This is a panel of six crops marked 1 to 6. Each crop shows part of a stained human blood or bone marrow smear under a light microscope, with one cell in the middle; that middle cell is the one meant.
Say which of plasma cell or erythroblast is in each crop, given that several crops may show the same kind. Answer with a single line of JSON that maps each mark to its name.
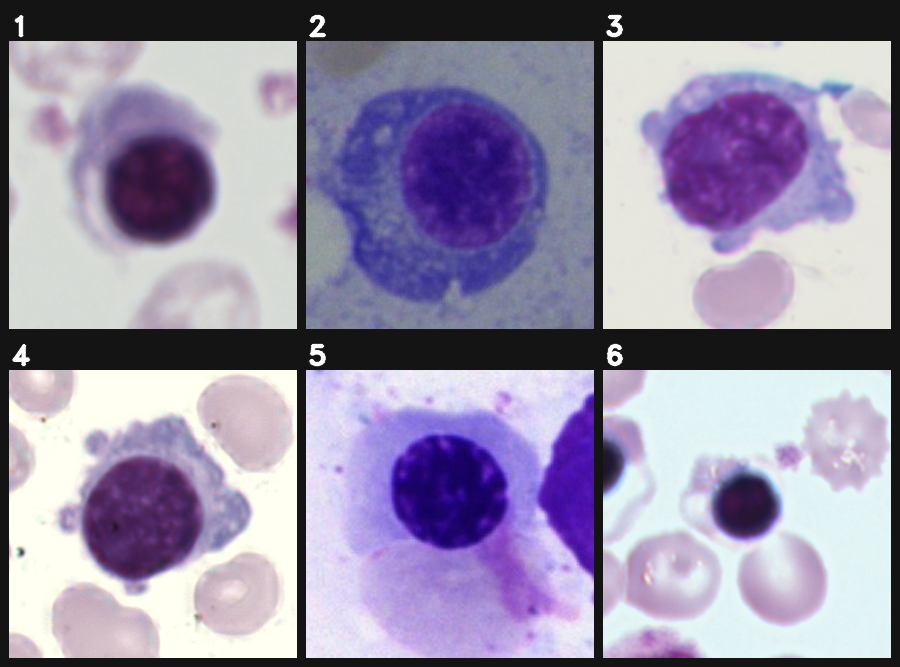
{"1": "erythroblast", "2": "plasma cell", "3": "plasma cell", "4": "plasma cell", "5": "erythroblast", "6": "erythroblast"}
